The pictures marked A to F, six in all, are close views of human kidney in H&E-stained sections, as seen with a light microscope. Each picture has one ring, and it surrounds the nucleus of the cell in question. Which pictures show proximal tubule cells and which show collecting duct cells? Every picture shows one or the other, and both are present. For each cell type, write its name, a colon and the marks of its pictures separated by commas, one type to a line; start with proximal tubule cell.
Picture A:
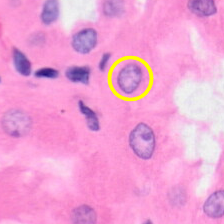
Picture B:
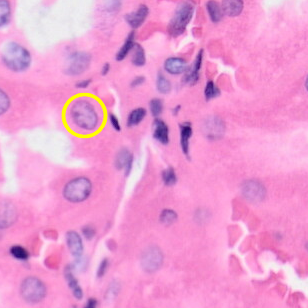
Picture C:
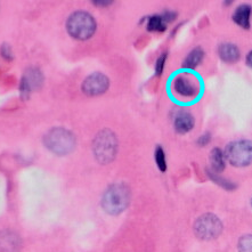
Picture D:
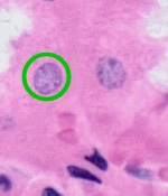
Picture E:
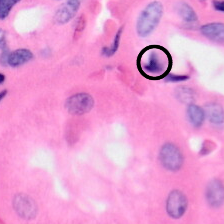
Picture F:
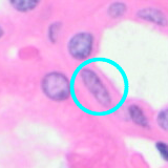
proximal tubule cell: A, B, D
collecting duct cell: C, E, F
